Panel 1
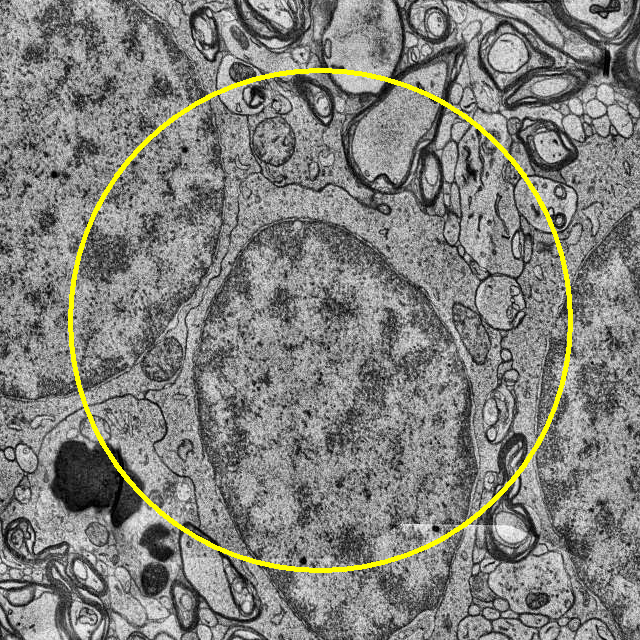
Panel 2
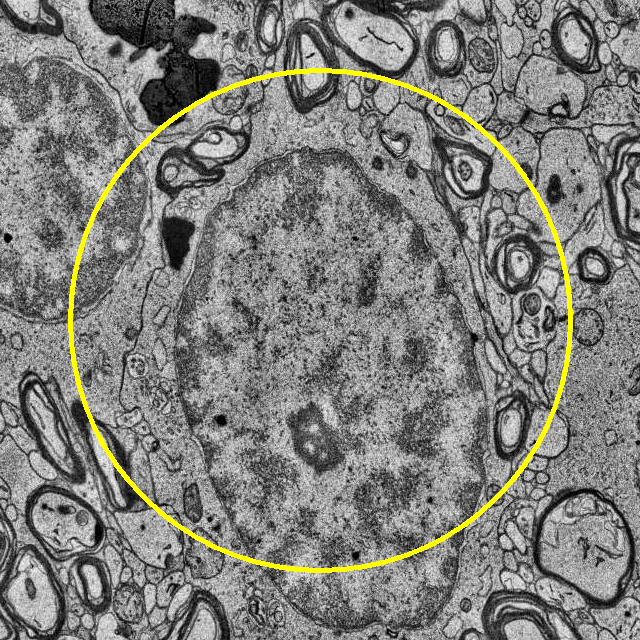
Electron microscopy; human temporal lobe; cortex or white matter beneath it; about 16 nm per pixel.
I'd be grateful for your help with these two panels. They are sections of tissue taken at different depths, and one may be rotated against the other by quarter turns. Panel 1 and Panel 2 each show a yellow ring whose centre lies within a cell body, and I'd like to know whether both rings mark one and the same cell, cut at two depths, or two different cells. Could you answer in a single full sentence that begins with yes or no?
Yes, the rings do not mark different cells but one cell.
